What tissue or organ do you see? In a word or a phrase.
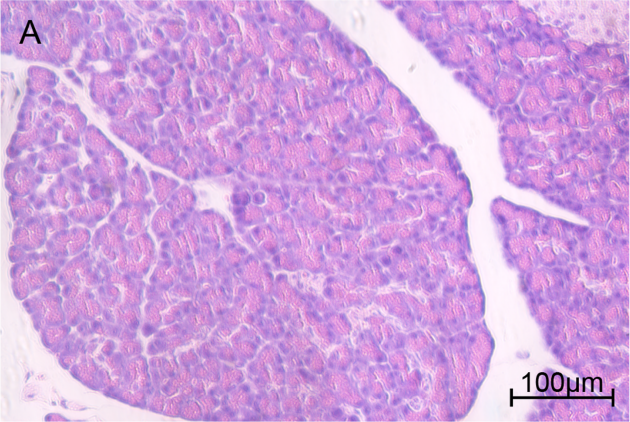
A: Pancreatic tissue.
